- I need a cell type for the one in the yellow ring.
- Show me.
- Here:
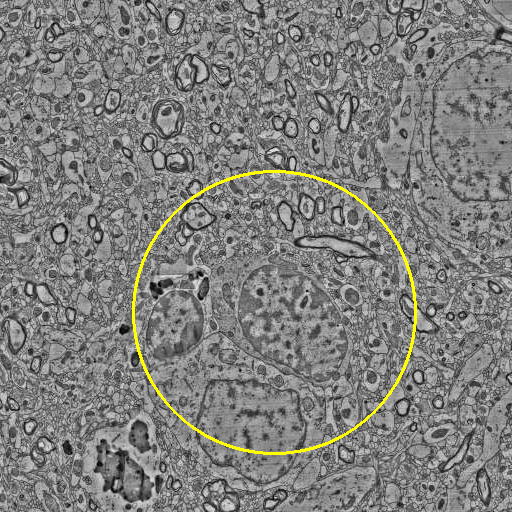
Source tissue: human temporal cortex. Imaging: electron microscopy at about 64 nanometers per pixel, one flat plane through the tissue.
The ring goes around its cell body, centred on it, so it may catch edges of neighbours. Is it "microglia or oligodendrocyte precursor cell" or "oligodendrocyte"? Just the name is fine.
oligodendrocyte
